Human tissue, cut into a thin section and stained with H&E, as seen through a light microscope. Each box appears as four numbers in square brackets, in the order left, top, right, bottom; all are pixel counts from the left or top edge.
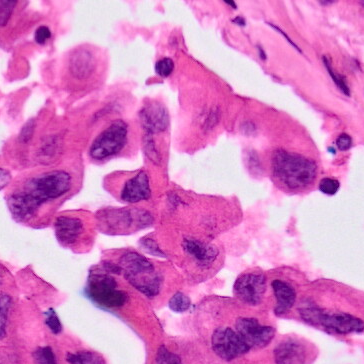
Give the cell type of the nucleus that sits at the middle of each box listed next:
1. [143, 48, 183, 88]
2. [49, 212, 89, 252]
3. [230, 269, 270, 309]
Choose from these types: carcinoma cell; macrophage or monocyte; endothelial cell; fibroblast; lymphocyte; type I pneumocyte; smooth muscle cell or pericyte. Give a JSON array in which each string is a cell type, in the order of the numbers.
["lymphocyte", "carcinoma cell", "carcinoma cell"]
